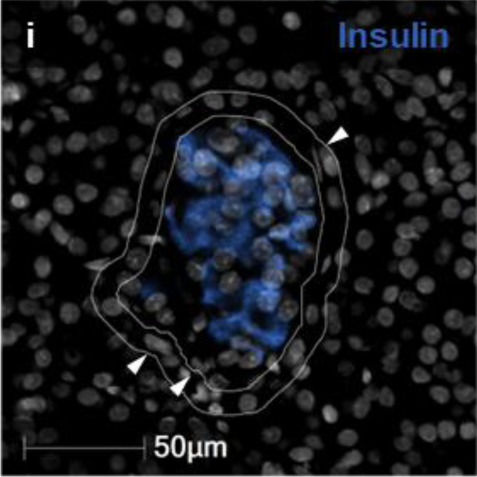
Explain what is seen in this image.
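A rounded pancreatic islet is shown as a compact cluster of cells whose cytoplasm is stained blue, surrounded by densely packed grey nuclei of the neighbouring tissue. A narrow rim between two white outlines encloses the islet periphery, where a few elongated cells lie.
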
